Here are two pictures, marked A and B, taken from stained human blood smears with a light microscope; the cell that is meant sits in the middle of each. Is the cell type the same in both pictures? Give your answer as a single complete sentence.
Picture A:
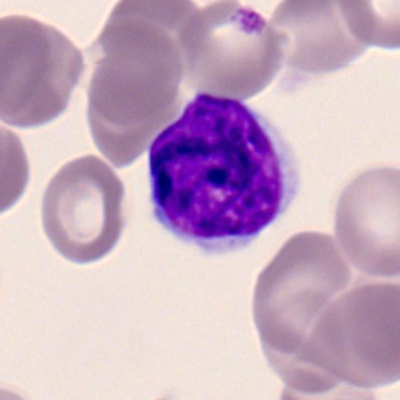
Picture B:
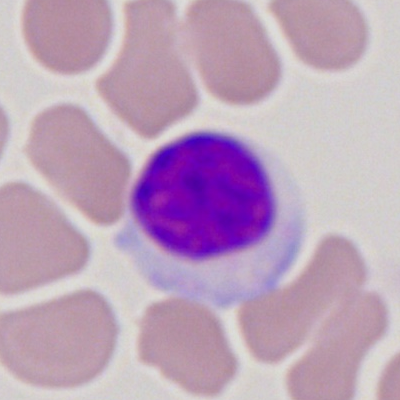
Yes; the cells in both pictures are lymphocytes.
